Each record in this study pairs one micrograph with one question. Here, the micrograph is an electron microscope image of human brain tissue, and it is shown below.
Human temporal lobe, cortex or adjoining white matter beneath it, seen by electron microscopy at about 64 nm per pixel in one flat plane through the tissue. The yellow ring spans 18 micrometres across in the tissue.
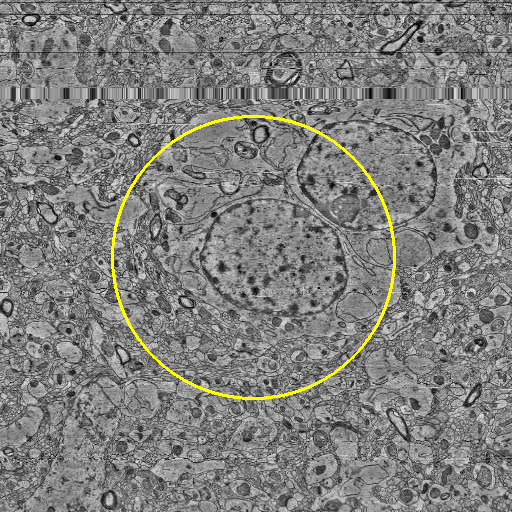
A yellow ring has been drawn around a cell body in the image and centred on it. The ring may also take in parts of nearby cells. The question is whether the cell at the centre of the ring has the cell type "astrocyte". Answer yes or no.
yes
